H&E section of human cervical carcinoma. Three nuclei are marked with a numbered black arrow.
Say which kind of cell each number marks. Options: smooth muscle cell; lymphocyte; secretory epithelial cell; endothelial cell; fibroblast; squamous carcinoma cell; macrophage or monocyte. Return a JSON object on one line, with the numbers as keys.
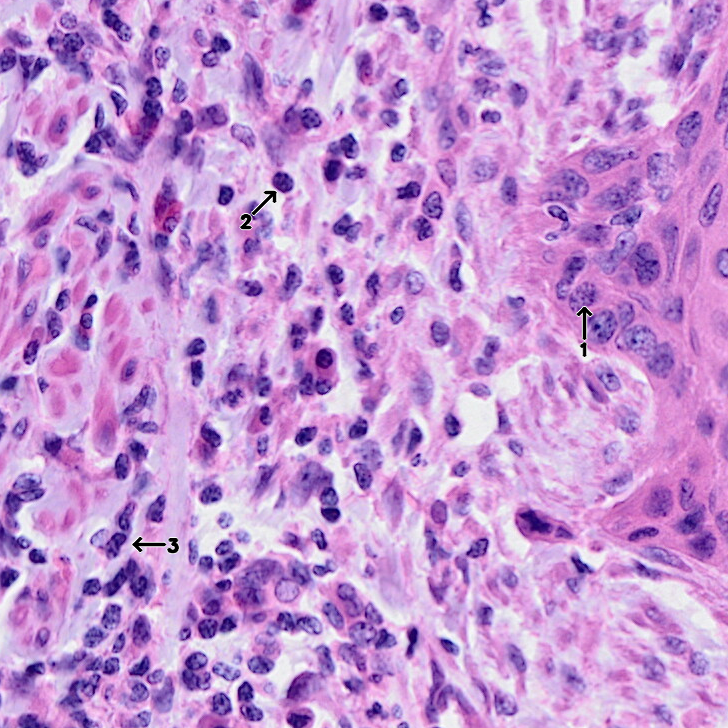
{"1": "squamous carcinoma cell", "2": "lymphocyte", "3": "lymphocyte"}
